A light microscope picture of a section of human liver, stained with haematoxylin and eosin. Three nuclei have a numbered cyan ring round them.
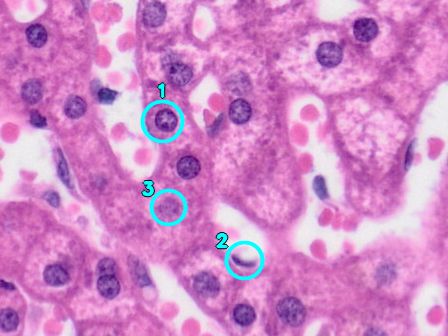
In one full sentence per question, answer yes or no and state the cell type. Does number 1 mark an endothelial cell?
No, cell 1 is not an endothelial cell at all but a hepatocyte.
